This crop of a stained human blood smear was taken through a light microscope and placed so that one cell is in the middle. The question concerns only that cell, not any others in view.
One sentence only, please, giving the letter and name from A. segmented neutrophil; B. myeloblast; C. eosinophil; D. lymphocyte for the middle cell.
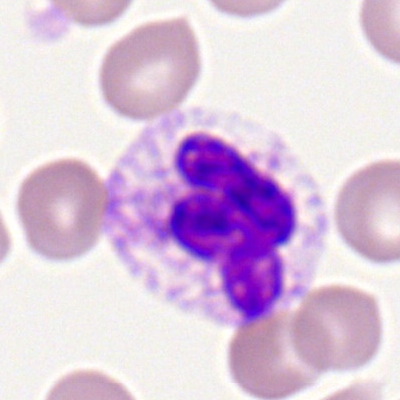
Since the cell in the middle is a segmented neutrophil, option A is correct.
